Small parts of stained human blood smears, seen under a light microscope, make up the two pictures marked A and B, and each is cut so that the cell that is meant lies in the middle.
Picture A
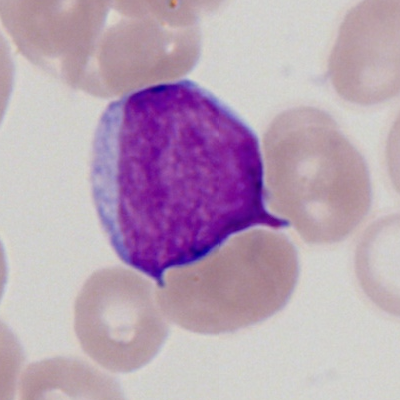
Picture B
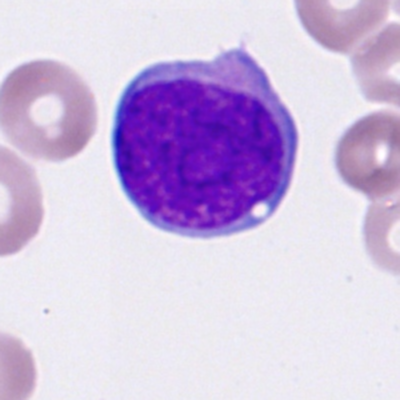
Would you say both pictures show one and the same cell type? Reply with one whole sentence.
Yes; the cells in both pictures are myeloblasts.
